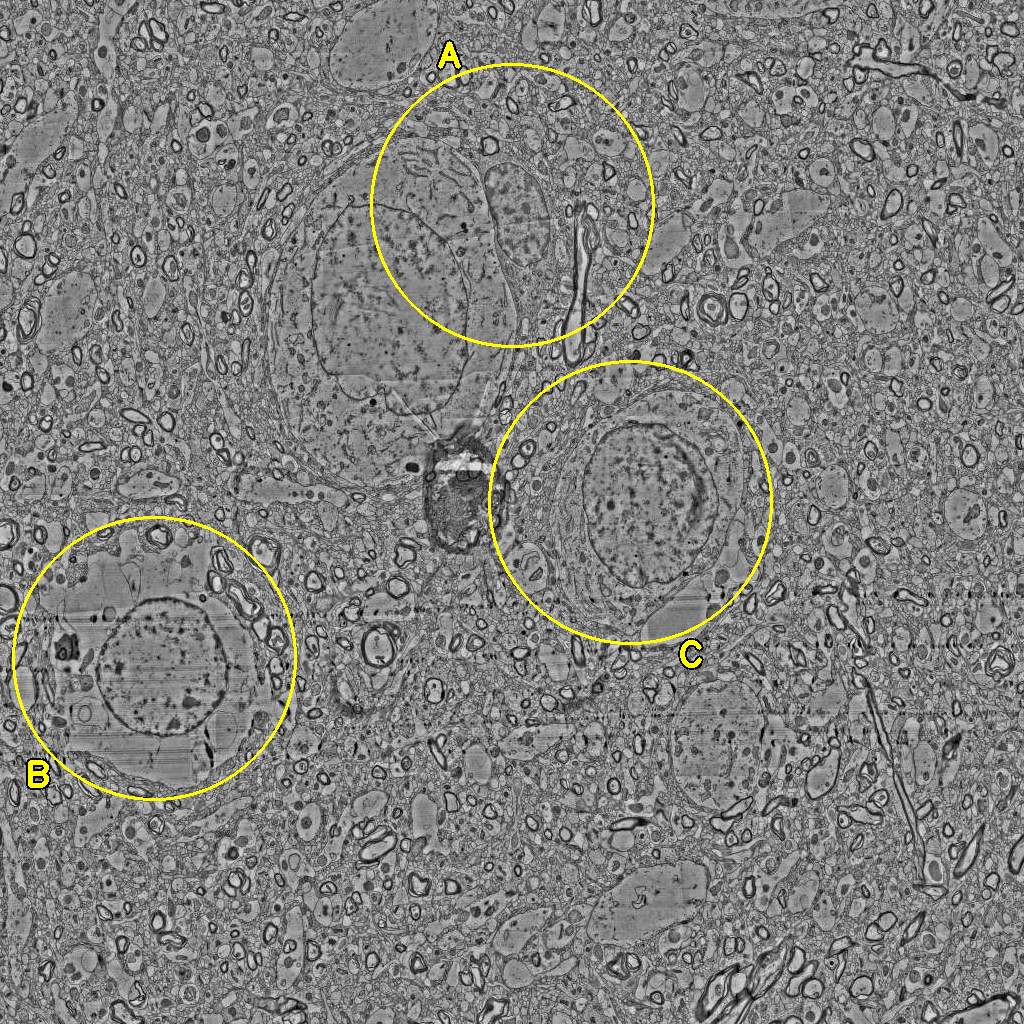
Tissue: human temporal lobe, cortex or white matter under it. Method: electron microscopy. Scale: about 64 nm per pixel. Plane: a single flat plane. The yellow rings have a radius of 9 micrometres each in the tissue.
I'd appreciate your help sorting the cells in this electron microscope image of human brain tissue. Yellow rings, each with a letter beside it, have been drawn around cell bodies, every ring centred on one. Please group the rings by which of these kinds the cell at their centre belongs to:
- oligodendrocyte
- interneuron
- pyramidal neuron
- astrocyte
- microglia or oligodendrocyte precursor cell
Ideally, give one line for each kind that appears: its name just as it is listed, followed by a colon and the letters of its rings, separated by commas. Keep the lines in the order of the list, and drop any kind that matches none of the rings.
oligodendrocyte: A
interneuron: C
astrocyte: B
